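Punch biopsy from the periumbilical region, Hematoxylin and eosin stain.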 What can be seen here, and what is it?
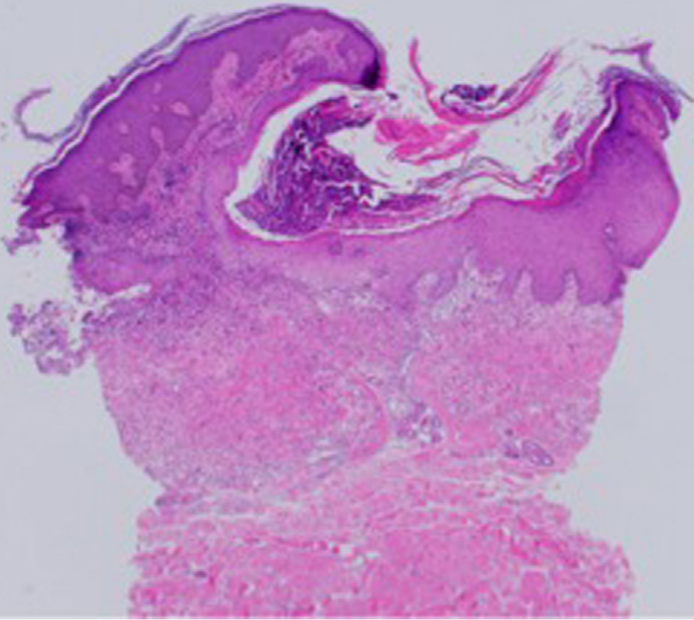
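This low-power section of skin shows a markedly thickened, hyperplastic epidermis that dips down to form a cup-shaped crater. Within the crater lies a dark purple, clumped mass of material together with flakes of pink keratin, and the surrounding epithelium wraps around it. The epidermis on either side is thickened and stains deep purple, with elongated rete ridges pushing into the tissue below. Beneath it, the dermis is a broad pink layer of fibrous connective tissue. The upper dermis is paler and more loosely textured, while coarse pink collagen bundles fill the deepest part of the section.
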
